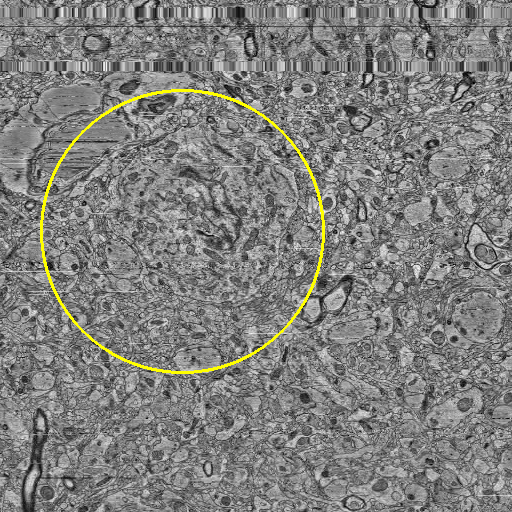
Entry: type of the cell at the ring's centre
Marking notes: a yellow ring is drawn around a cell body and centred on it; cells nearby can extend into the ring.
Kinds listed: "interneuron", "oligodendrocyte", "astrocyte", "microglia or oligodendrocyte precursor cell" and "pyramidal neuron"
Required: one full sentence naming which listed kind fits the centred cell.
My entry names an interneuron as the cell whose body the yellow ring centres on.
